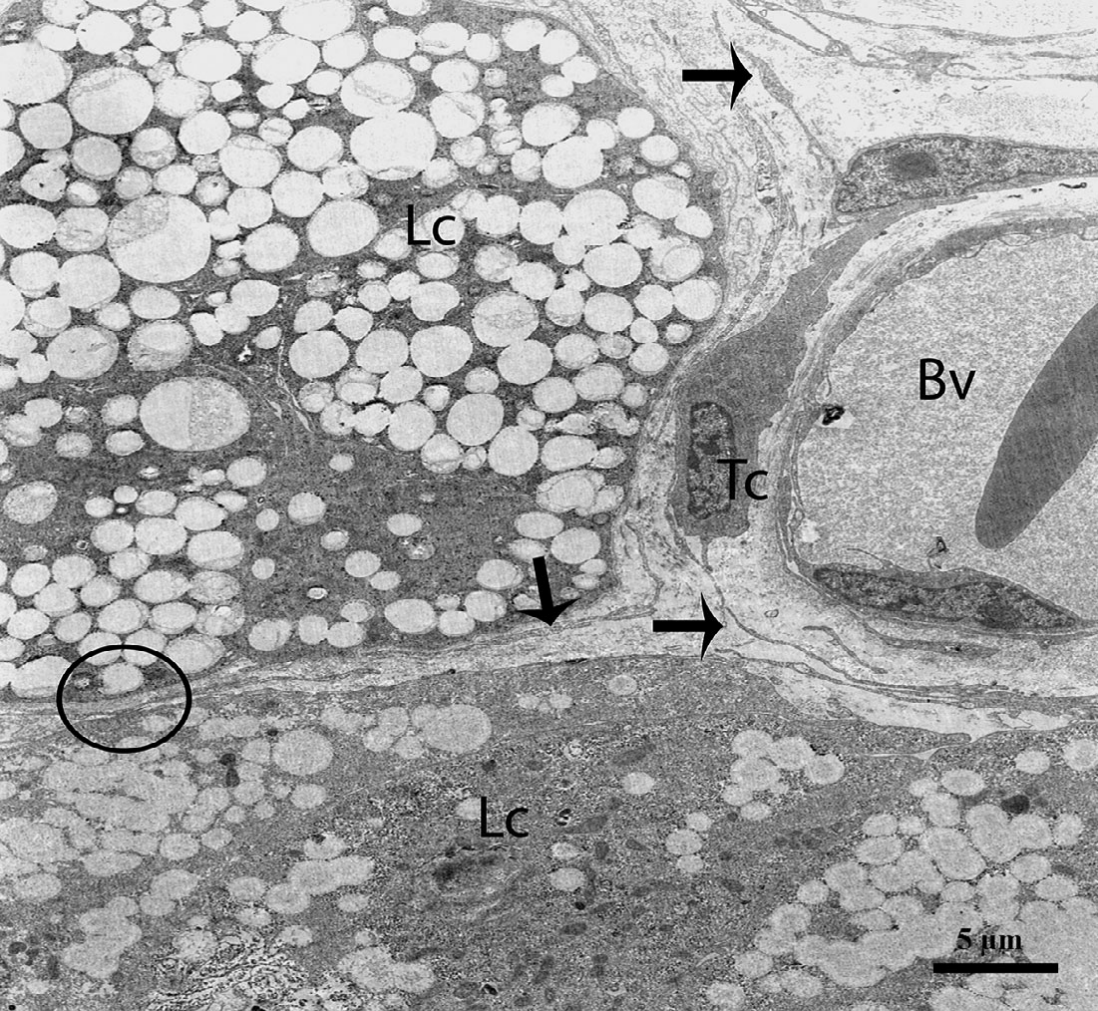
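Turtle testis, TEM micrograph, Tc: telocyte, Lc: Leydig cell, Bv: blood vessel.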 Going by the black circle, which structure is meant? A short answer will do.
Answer: heterocellular junction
